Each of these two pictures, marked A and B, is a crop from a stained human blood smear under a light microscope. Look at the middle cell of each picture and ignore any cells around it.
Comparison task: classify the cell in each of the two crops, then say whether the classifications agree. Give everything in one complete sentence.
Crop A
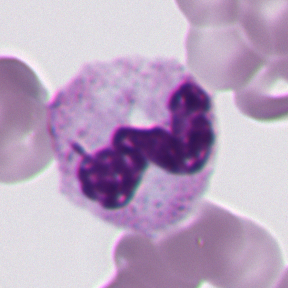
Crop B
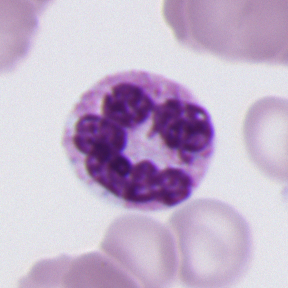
Yes, both crops, not just one, show neutrophils.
